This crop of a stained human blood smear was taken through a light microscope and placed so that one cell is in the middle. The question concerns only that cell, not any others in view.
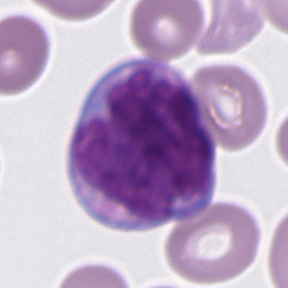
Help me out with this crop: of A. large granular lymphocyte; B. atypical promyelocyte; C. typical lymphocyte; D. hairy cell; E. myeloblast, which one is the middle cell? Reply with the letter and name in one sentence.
The correct choice is option B, which identifies the middle cell as an atypical promyelocyte.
